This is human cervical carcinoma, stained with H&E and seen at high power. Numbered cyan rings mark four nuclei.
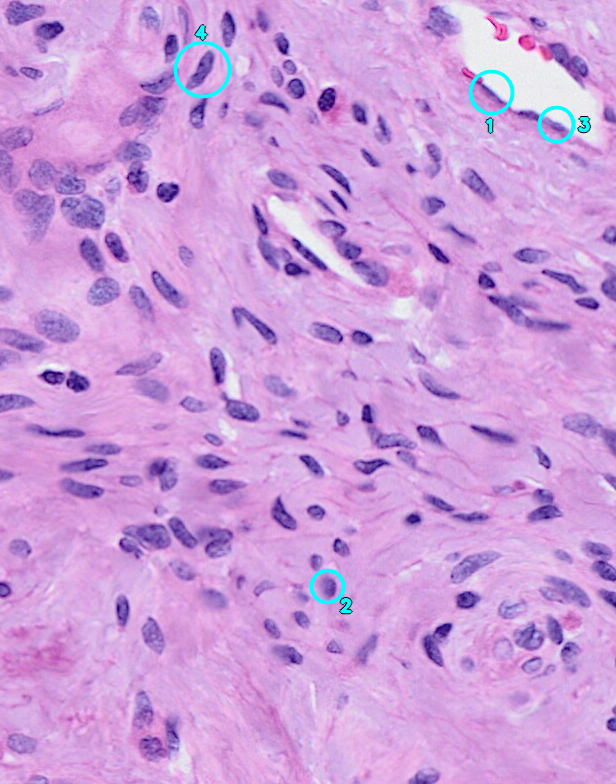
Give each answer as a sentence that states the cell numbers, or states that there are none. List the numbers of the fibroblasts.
In this section, the cells labelled 2 and 4 are fibroblasts.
